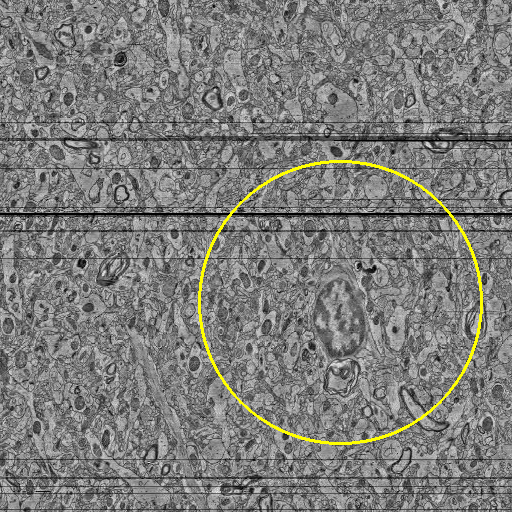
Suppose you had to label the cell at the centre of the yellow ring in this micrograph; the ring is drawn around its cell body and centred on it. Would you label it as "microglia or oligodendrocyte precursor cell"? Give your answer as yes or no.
No, I would label it as another kind.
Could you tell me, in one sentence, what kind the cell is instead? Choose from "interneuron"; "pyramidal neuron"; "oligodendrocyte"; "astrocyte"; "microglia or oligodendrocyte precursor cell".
Instead, the cell at the centre of the yellow ring is an oligodendrocyte.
